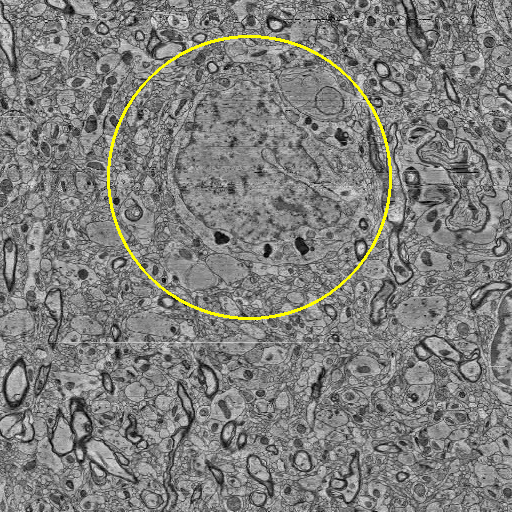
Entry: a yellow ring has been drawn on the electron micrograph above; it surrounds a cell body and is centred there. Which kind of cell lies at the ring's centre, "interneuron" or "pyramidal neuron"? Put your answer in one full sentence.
The cell sitting at the ring's centre is an interneuron in the micrograph above.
